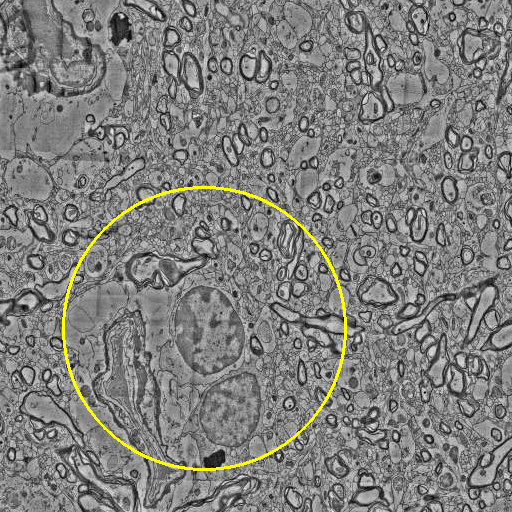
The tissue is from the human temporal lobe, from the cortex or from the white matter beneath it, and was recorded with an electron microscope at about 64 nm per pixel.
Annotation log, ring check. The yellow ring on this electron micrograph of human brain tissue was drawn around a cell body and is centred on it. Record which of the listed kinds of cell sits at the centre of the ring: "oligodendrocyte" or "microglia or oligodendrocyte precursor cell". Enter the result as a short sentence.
The cell at the centre of the ring is a microglial cell or oligodendrocyte precursor cell.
